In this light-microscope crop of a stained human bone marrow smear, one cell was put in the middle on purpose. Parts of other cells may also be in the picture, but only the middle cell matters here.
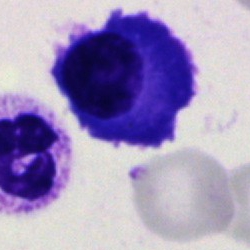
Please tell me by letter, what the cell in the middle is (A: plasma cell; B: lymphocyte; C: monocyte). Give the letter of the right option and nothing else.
A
